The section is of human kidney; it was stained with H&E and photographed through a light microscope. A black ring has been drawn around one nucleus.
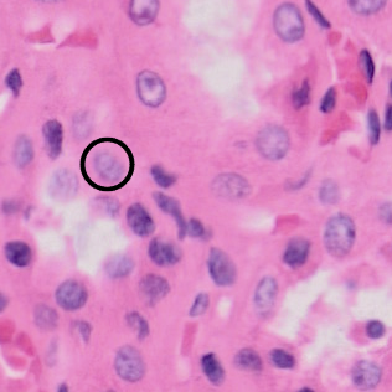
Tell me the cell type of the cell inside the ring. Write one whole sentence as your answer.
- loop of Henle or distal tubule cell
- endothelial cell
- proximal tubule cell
Considered by cell type, the cell inside the ring is a loop of Henle or distal tubule cell.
